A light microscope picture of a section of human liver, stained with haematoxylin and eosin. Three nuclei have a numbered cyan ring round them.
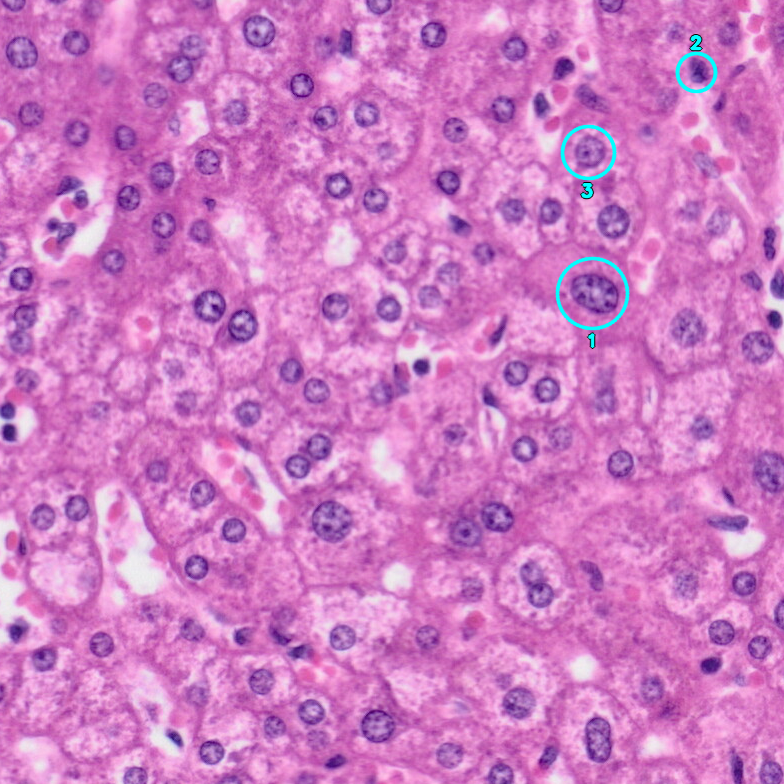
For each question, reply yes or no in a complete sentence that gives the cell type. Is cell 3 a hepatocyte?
Yes, the cell identified by number 3 is a hepatocyte.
